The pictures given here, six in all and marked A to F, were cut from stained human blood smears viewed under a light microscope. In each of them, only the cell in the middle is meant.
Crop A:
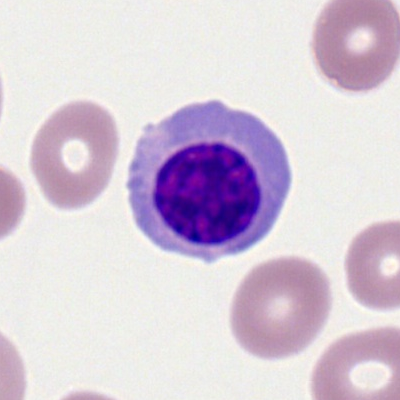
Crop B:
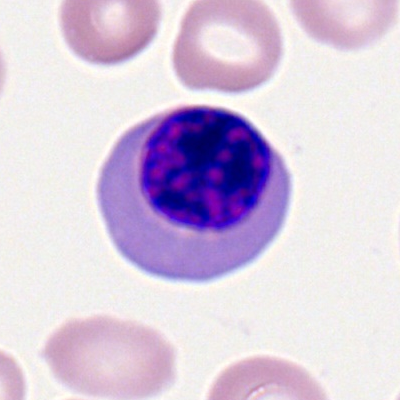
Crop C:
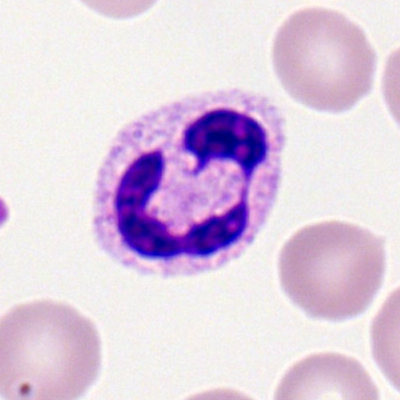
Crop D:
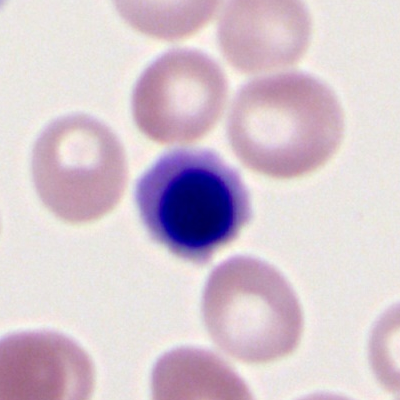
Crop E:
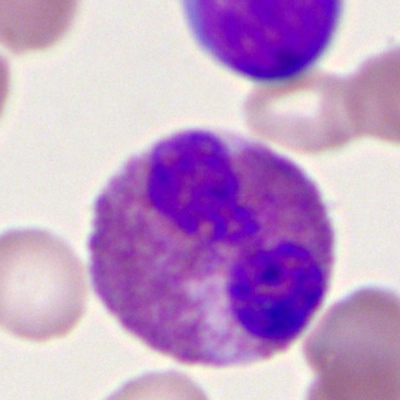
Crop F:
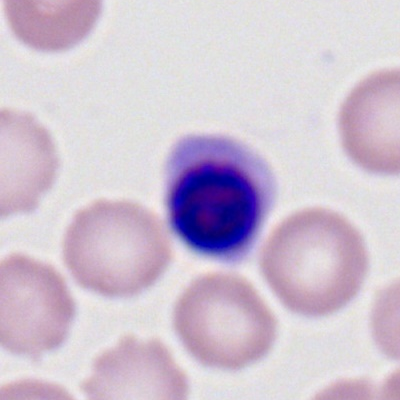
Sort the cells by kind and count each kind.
normoblast: 4
neutrophil: 1
eosinophil: 1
